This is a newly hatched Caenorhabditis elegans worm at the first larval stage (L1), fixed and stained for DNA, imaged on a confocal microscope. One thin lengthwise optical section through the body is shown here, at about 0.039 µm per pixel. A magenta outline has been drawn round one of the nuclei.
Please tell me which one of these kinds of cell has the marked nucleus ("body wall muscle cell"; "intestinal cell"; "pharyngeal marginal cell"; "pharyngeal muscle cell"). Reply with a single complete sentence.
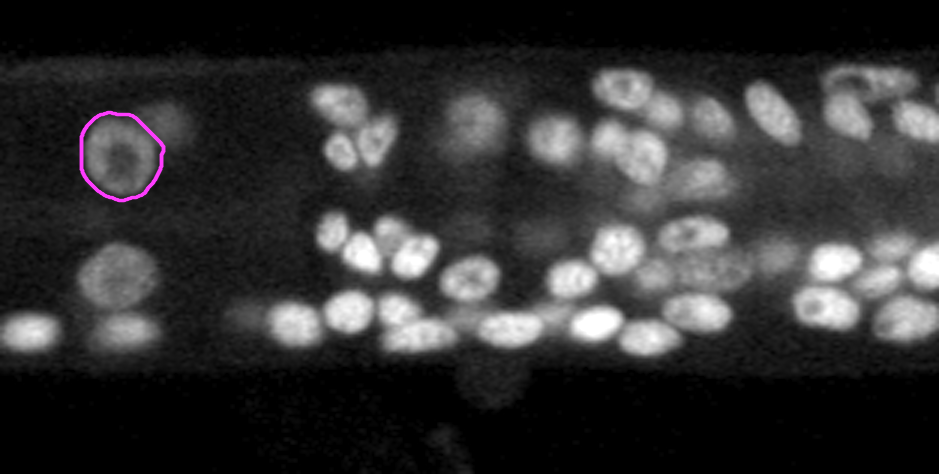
It is the nucleus of an intestinal cell.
